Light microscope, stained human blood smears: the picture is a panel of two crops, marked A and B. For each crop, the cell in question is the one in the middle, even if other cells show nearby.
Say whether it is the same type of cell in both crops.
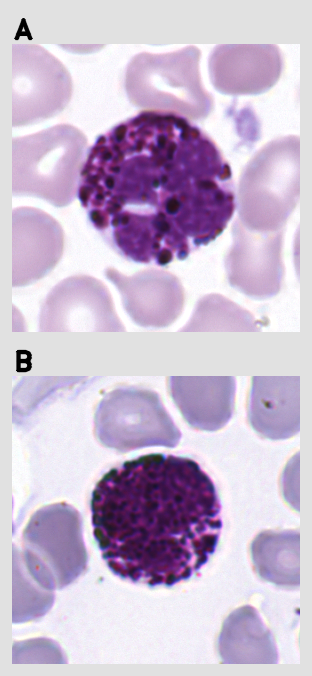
yes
